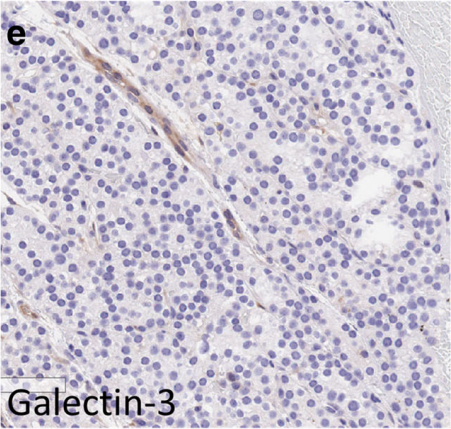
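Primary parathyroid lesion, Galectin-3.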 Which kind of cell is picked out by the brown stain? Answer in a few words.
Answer: Endothelial cells.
